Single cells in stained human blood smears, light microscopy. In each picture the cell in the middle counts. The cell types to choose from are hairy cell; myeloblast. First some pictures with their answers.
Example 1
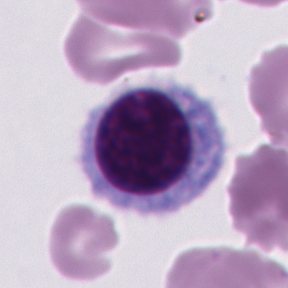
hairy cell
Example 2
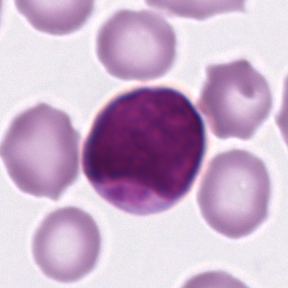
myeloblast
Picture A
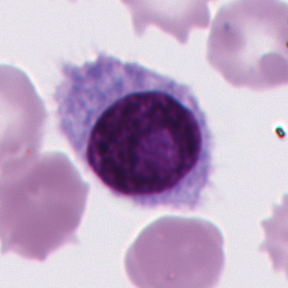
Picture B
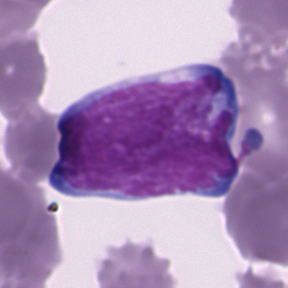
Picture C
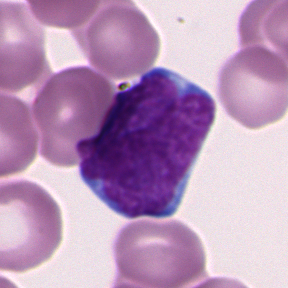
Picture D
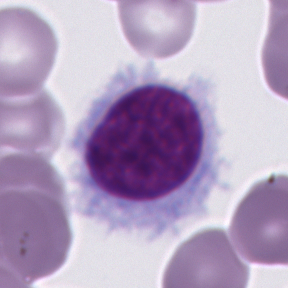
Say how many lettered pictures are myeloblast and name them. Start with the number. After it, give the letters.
2, namely B, C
